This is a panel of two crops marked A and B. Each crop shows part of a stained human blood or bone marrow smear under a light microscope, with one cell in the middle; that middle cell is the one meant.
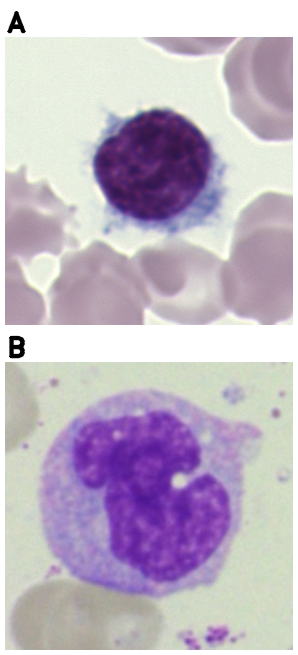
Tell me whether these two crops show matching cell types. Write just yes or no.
no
